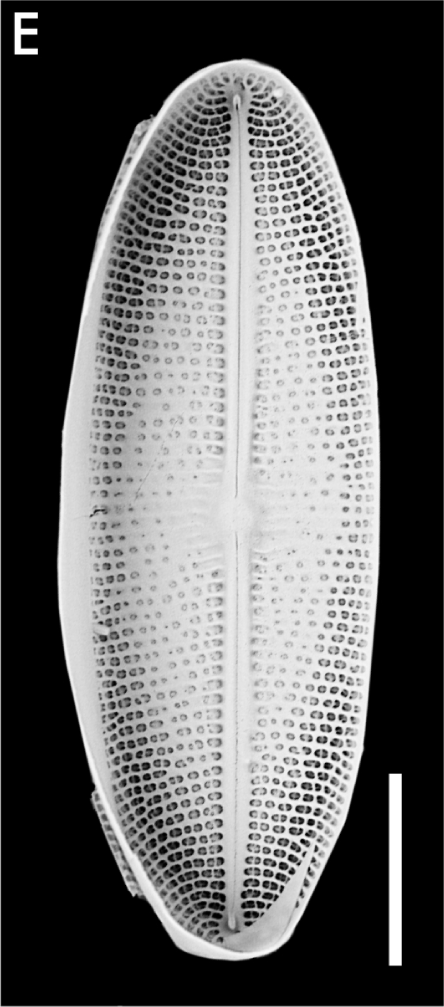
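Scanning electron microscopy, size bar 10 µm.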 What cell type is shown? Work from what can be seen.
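Pennate diatoms. Elongate elliptical valve seen from inside. Central raphe along the long axis. Transverse rows of rounded areolae.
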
